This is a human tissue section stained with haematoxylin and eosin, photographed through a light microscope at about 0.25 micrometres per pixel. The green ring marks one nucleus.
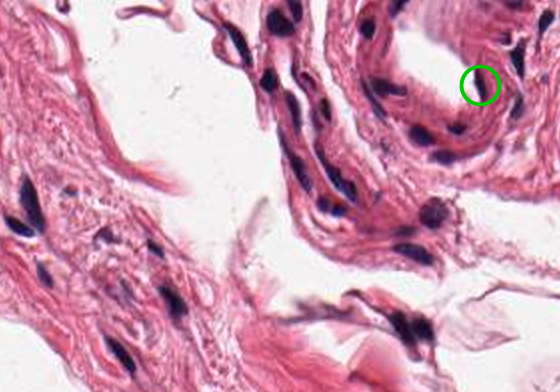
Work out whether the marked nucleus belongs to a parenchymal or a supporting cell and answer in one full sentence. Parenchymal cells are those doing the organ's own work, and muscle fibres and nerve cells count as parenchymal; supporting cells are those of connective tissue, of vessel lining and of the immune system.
The cell that the marked nucleus belongs to is a supporting cell.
